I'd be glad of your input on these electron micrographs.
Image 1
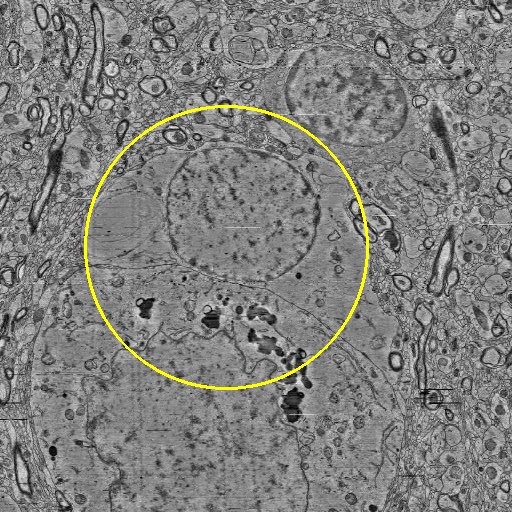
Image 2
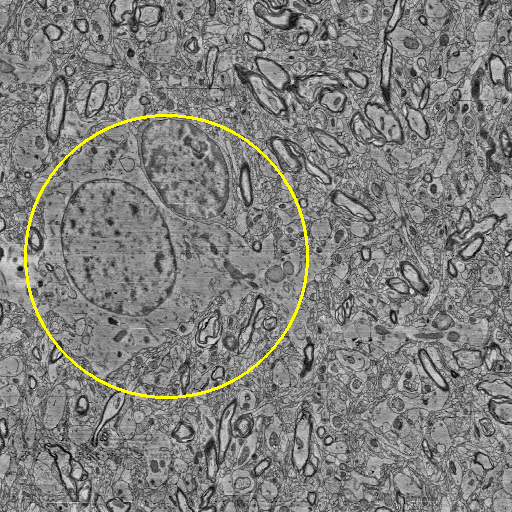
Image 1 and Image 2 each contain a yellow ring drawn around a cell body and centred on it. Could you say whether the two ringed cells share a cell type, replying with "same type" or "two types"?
same type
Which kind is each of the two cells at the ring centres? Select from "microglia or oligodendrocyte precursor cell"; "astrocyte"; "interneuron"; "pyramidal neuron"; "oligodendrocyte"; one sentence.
In both pictures the ring is centred on an astrocyte.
